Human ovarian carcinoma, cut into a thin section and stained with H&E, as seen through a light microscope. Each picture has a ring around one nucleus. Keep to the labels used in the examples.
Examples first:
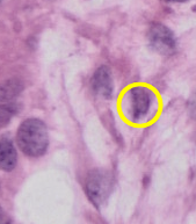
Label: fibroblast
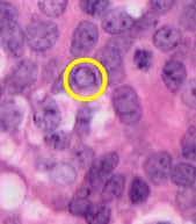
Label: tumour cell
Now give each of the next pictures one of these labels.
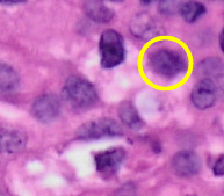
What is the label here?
tumour cell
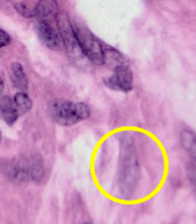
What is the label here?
fibroblast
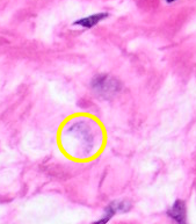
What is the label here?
fibroblast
